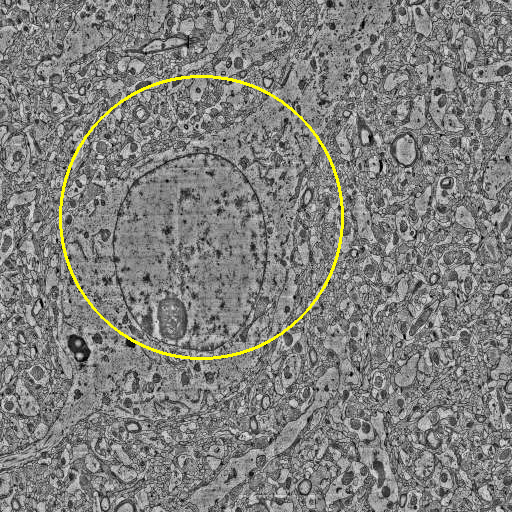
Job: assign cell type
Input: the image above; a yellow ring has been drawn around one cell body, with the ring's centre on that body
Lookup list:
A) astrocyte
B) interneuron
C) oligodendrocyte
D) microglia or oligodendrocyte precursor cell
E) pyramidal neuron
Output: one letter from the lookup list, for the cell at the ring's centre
E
